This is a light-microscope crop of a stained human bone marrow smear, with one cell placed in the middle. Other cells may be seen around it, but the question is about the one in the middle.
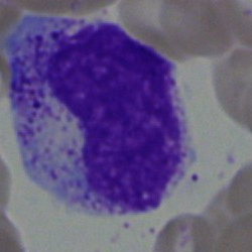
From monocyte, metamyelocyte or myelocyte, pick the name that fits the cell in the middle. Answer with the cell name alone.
metamyelocyte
